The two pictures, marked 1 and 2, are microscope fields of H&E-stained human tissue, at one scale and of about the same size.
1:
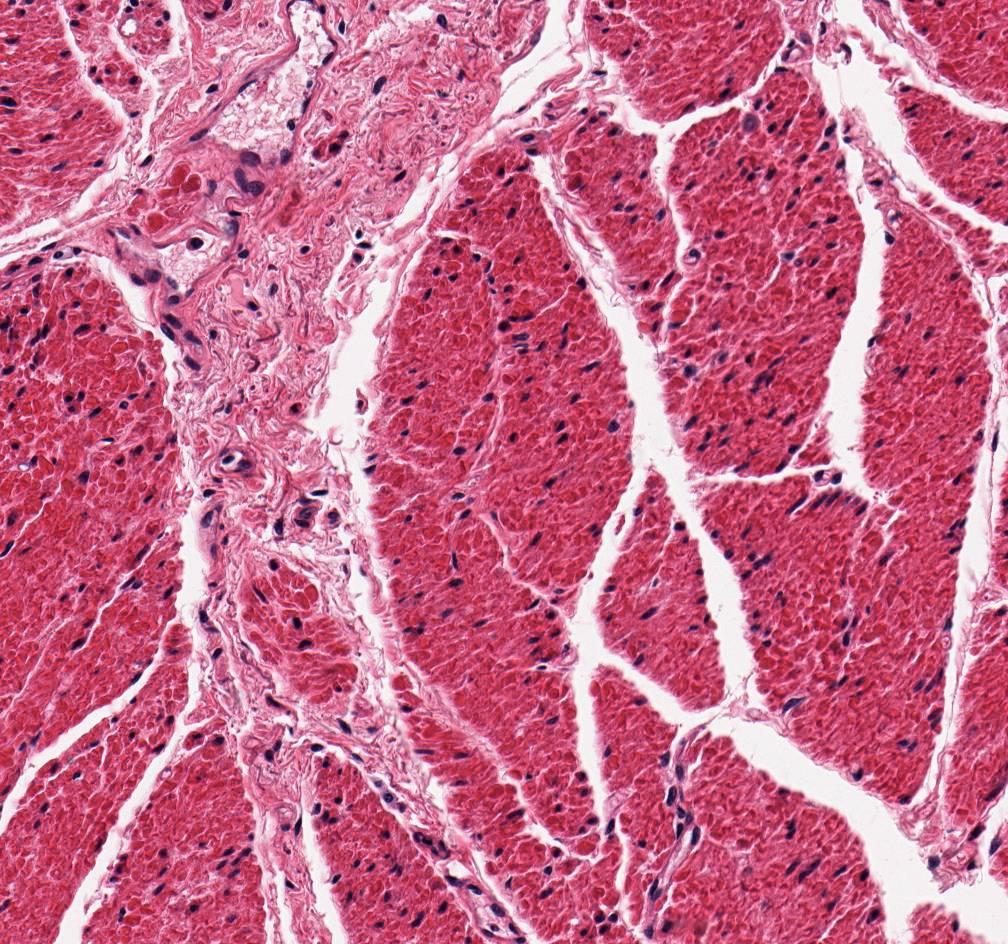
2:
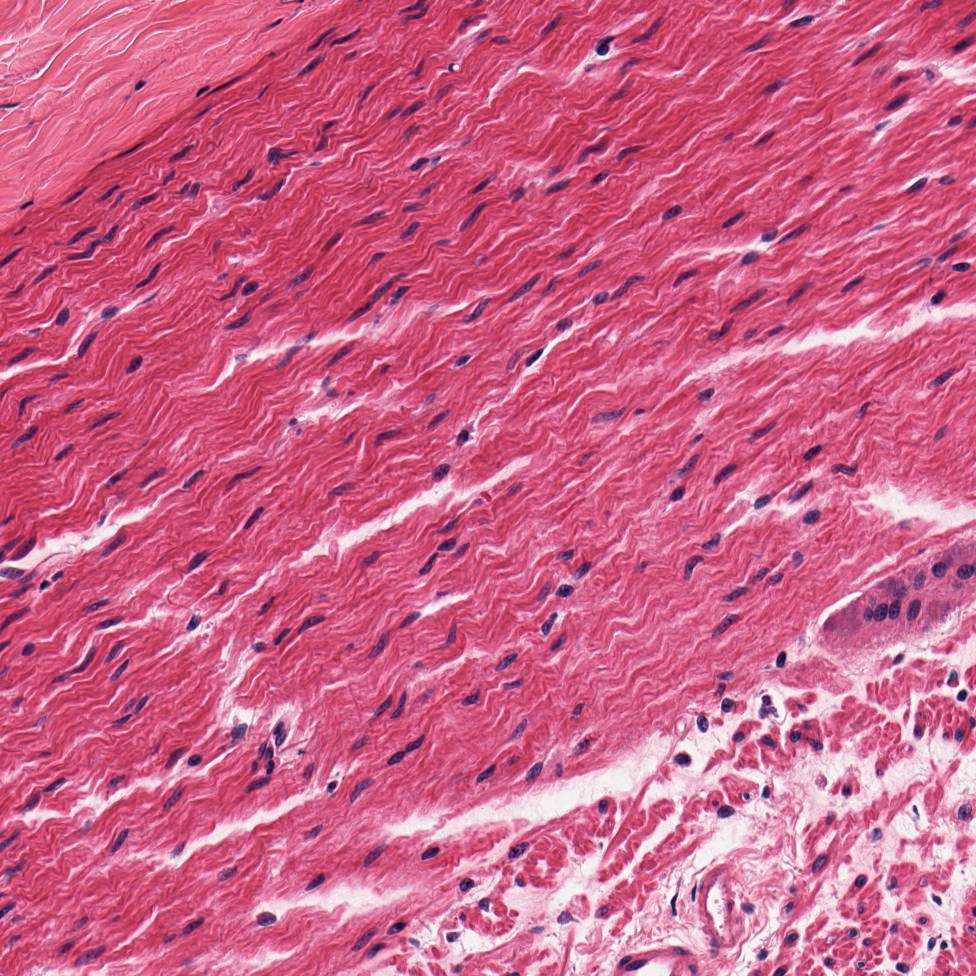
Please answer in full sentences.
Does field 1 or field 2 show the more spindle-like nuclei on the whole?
It is field 2 whose nuclei are the more elongated.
